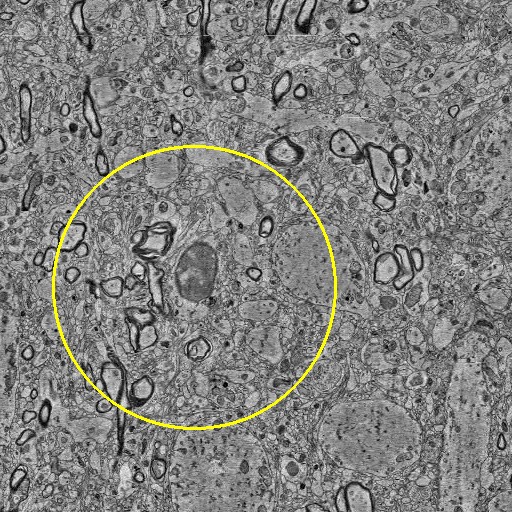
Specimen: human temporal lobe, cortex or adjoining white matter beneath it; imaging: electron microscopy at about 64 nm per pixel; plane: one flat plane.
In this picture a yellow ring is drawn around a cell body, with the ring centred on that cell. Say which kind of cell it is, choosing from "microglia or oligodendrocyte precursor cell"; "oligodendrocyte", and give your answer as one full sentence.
Here it is a microglial cell or oligodendrocyte precursor cell that sits at the centre of the drawn yellow ring.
